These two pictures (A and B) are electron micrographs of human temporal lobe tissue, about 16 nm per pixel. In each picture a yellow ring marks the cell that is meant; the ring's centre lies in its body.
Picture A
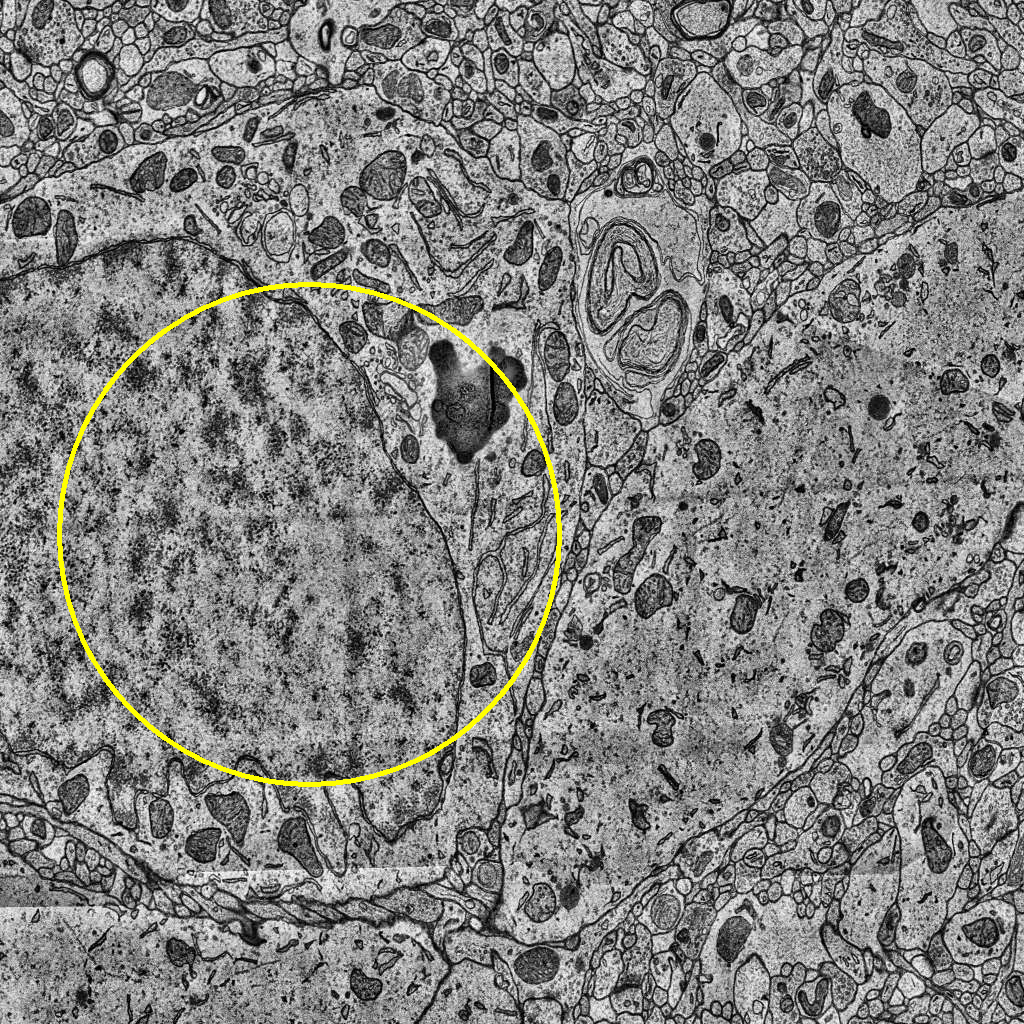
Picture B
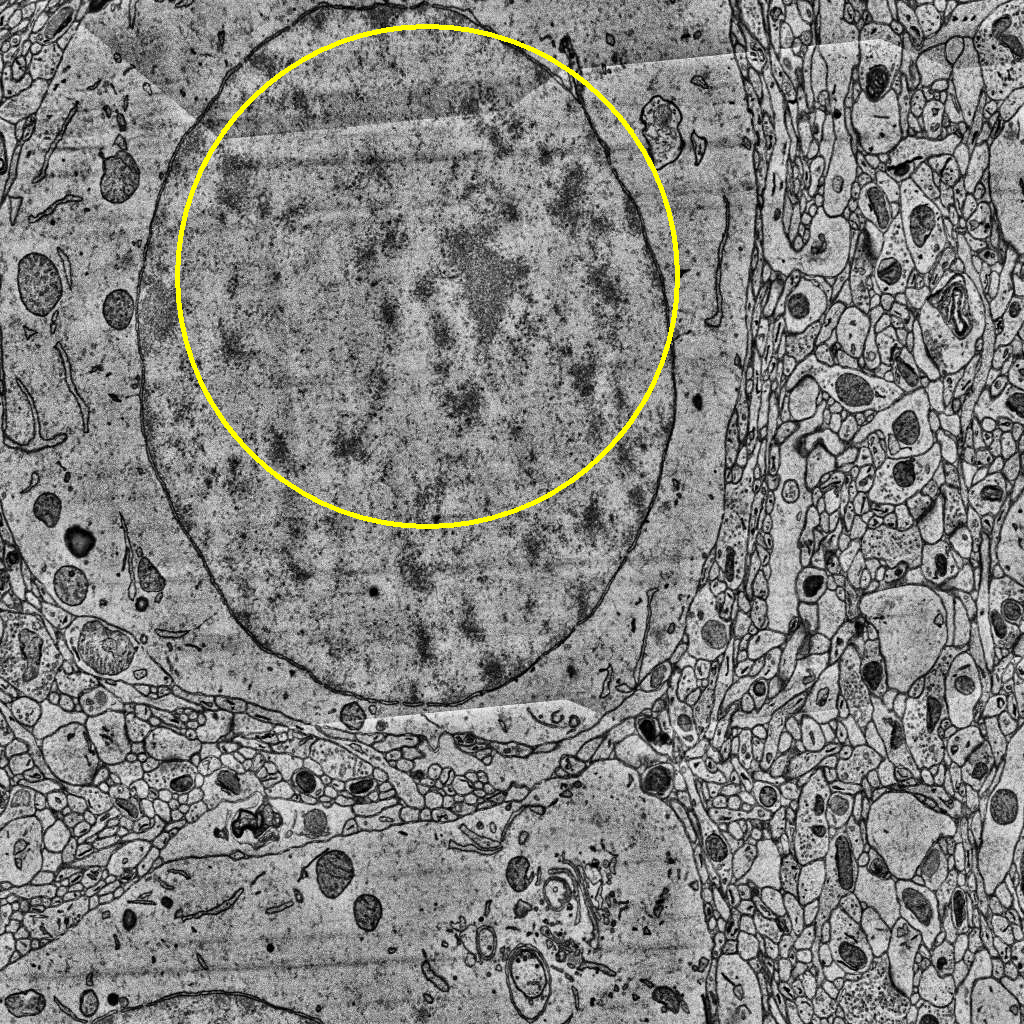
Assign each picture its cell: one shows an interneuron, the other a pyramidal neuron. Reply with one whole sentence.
It is picture A that shows an interneuron, and picture B that shows a pyramidal neuron.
